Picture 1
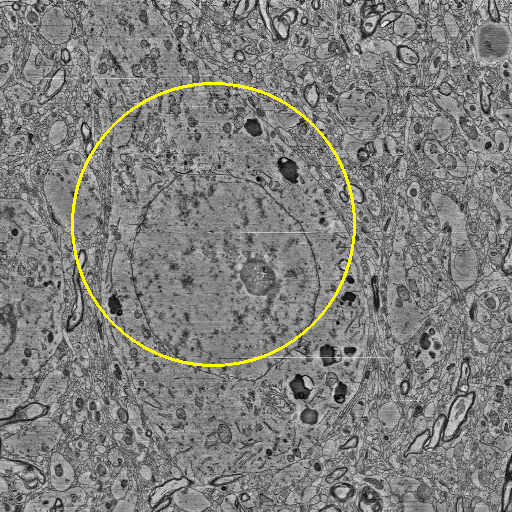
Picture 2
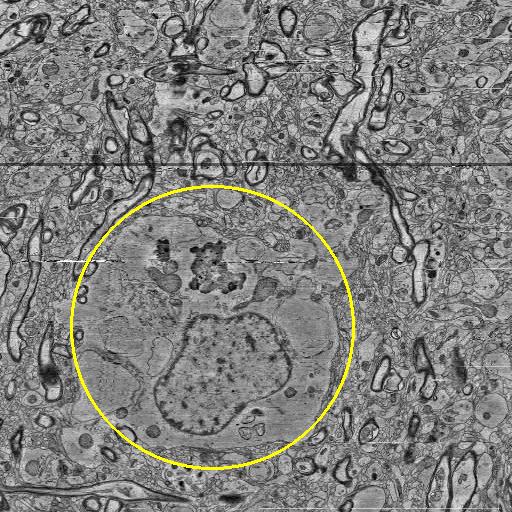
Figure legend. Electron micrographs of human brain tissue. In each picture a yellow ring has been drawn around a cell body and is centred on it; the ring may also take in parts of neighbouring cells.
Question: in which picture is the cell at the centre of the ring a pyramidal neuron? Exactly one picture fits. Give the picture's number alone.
1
